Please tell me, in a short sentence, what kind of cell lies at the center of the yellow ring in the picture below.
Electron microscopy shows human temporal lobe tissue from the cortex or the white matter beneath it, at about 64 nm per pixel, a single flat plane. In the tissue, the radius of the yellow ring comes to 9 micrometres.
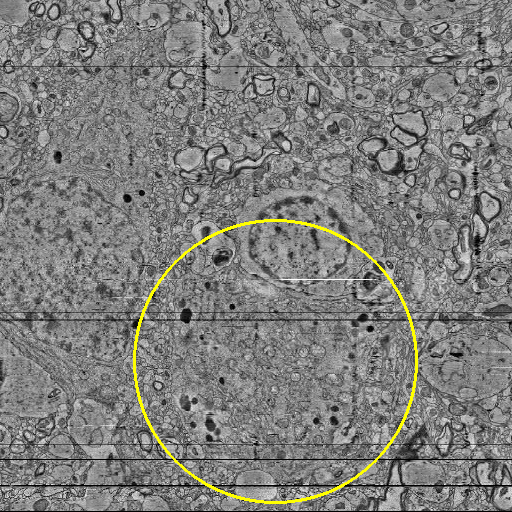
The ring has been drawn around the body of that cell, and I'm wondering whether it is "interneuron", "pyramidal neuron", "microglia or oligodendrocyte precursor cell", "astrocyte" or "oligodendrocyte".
The cell at the center of the ring is a pyramidal neuron.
